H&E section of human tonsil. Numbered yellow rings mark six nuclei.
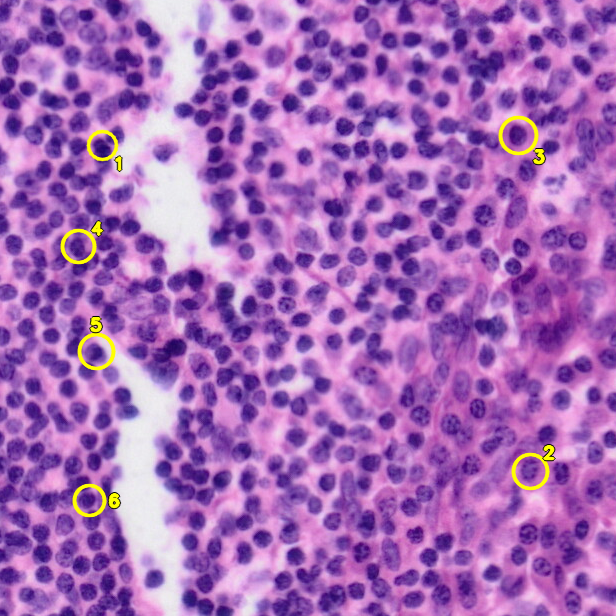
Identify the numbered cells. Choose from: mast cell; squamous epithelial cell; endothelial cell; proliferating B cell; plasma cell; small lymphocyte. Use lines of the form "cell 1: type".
cell 1: small lymphocyte
cell 2: plasma cell
cell 3: plasma cell
cell 4: small lymphocyte
cell 5: small lymphocyte
cell 6: small lymphocyte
